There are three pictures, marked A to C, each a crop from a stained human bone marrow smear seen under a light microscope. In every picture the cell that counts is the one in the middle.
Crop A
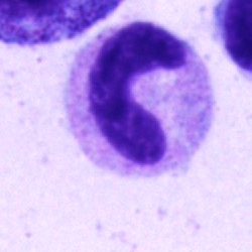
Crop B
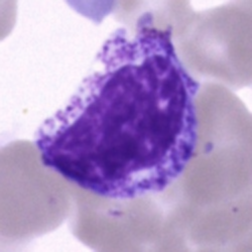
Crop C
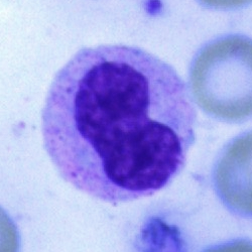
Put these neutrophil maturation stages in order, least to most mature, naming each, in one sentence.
Placed in order from least to most mature, they run crop B (a myelocyte), crop C (a metamyelocyte) and crop A (a band neutrophil).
